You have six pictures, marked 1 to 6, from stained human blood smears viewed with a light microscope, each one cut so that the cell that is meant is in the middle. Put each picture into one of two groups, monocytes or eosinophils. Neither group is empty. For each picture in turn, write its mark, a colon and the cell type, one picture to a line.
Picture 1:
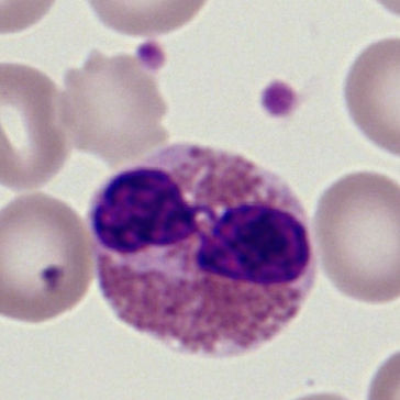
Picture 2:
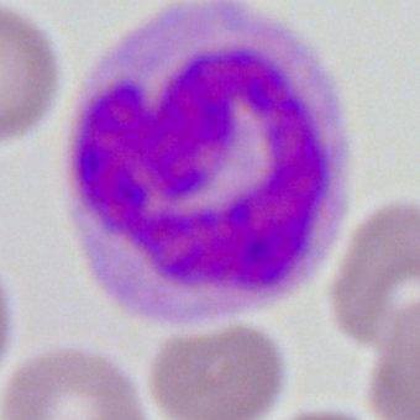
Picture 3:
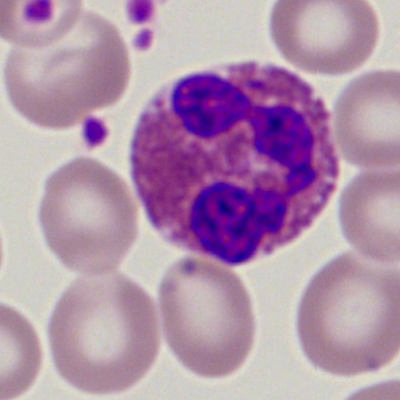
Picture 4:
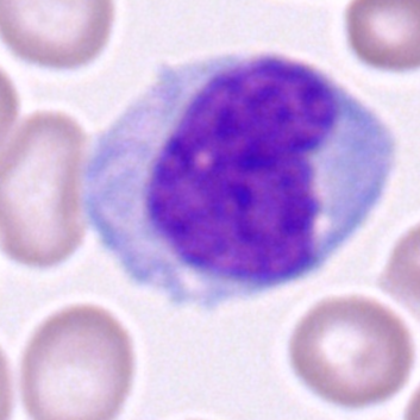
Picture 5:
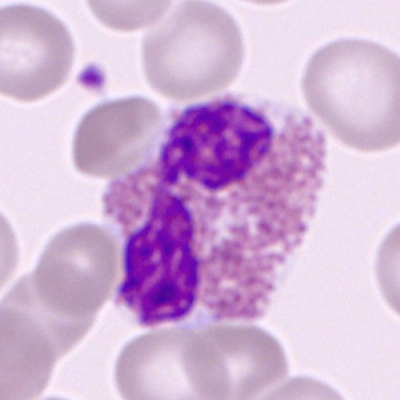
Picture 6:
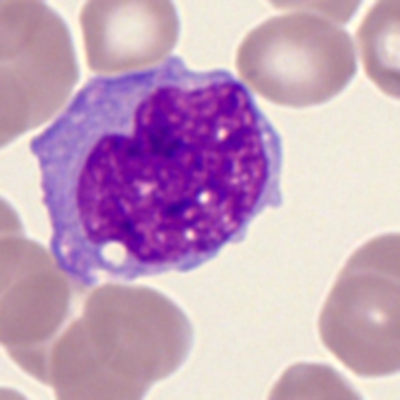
1: eosinophil
2: monocyte
3: eosinophil
4: monocyte
5: eosinophil
6: monocyte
